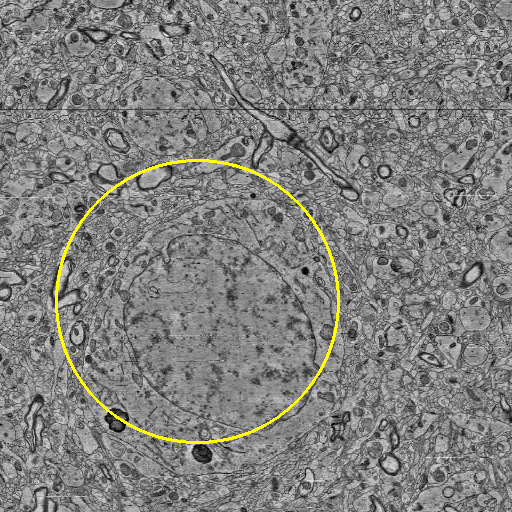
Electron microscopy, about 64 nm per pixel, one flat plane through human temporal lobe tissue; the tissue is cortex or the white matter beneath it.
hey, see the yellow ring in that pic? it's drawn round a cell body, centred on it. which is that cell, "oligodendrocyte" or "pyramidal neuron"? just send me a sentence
The cell in the ring is a pyramidal neuron.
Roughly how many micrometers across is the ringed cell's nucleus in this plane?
About 14 by 12 micrometers, in this plane.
